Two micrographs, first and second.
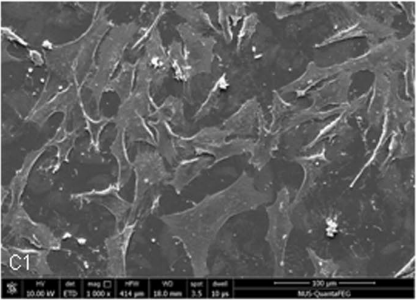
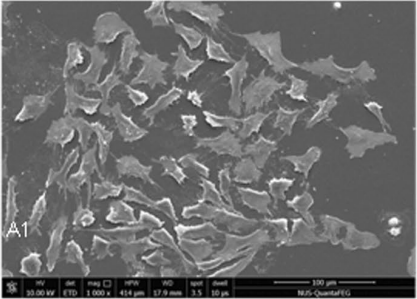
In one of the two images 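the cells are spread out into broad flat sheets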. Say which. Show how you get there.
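The first image. First image: many cells are wide and flattened, covering much of the surface as irregular sheets. Second image: cells are smaller, oblong or angular, with much bare surface between them.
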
